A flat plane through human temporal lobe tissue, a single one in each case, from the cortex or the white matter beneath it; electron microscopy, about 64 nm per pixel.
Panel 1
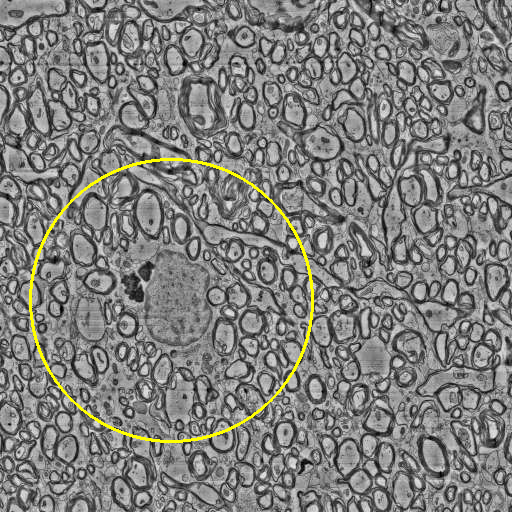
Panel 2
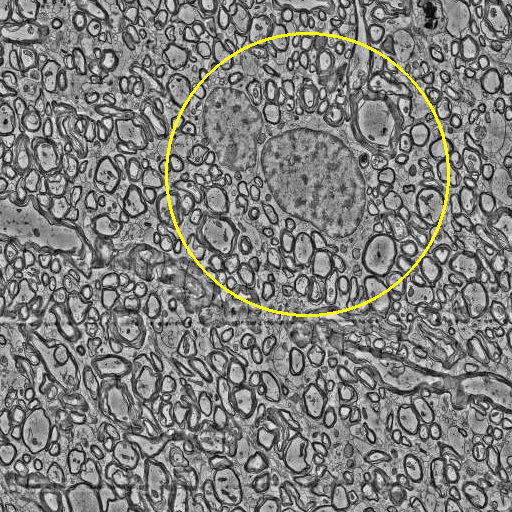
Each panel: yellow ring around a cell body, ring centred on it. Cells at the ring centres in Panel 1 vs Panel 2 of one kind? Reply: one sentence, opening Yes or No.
Yes, Panel 1 and Panel 2 have cells of one kind at the ring centres.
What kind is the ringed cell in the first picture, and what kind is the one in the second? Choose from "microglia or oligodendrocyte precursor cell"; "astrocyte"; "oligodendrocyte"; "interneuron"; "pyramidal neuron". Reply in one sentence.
The first and the second cell are each an oligodendrocyte.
